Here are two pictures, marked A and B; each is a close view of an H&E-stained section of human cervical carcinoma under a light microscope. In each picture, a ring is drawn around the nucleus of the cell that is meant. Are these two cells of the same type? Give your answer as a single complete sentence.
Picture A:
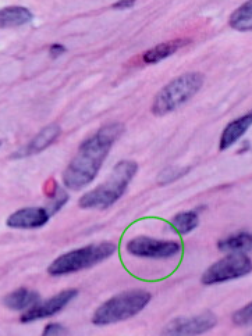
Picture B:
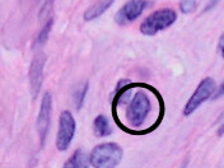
No, they differ: the cell is a fibroblast in picture A and an endothelial cell in picture B.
